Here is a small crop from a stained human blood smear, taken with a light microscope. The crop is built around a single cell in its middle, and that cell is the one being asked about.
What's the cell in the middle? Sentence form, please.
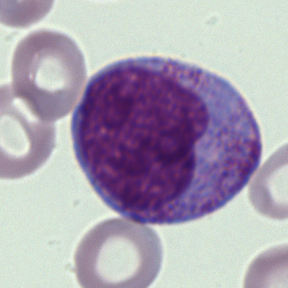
Present in the middle of the crop is a promyelocyte.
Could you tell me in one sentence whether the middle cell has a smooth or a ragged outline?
Around its whole circumference the outline stays smooth, free of projections.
